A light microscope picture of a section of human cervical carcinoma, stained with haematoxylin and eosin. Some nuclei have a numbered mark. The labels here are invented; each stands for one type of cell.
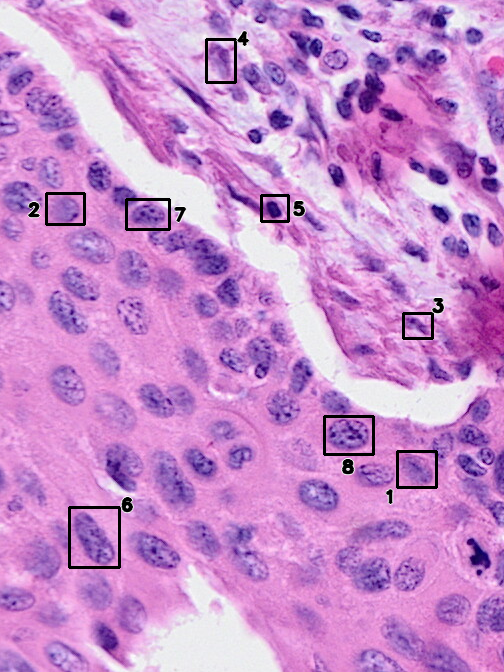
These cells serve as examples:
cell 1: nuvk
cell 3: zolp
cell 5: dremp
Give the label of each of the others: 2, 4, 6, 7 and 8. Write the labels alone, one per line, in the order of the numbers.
nuvk
zolp
nuvk
nuvk
nuvk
